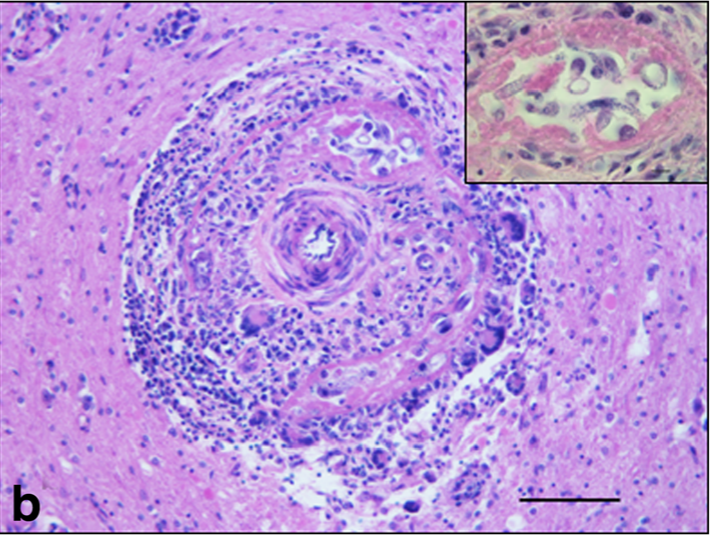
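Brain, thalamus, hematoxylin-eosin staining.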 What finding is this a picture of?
Angiocentric granulomatous lesion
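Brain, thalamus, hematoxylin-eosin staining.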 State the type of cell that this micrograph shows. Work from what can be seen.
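Multinucleated giant cells. Several large cells with abundant pink cytoplasm hold many dark nuclei. These large cells lie within the inflammatory cuff around the vessel.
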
